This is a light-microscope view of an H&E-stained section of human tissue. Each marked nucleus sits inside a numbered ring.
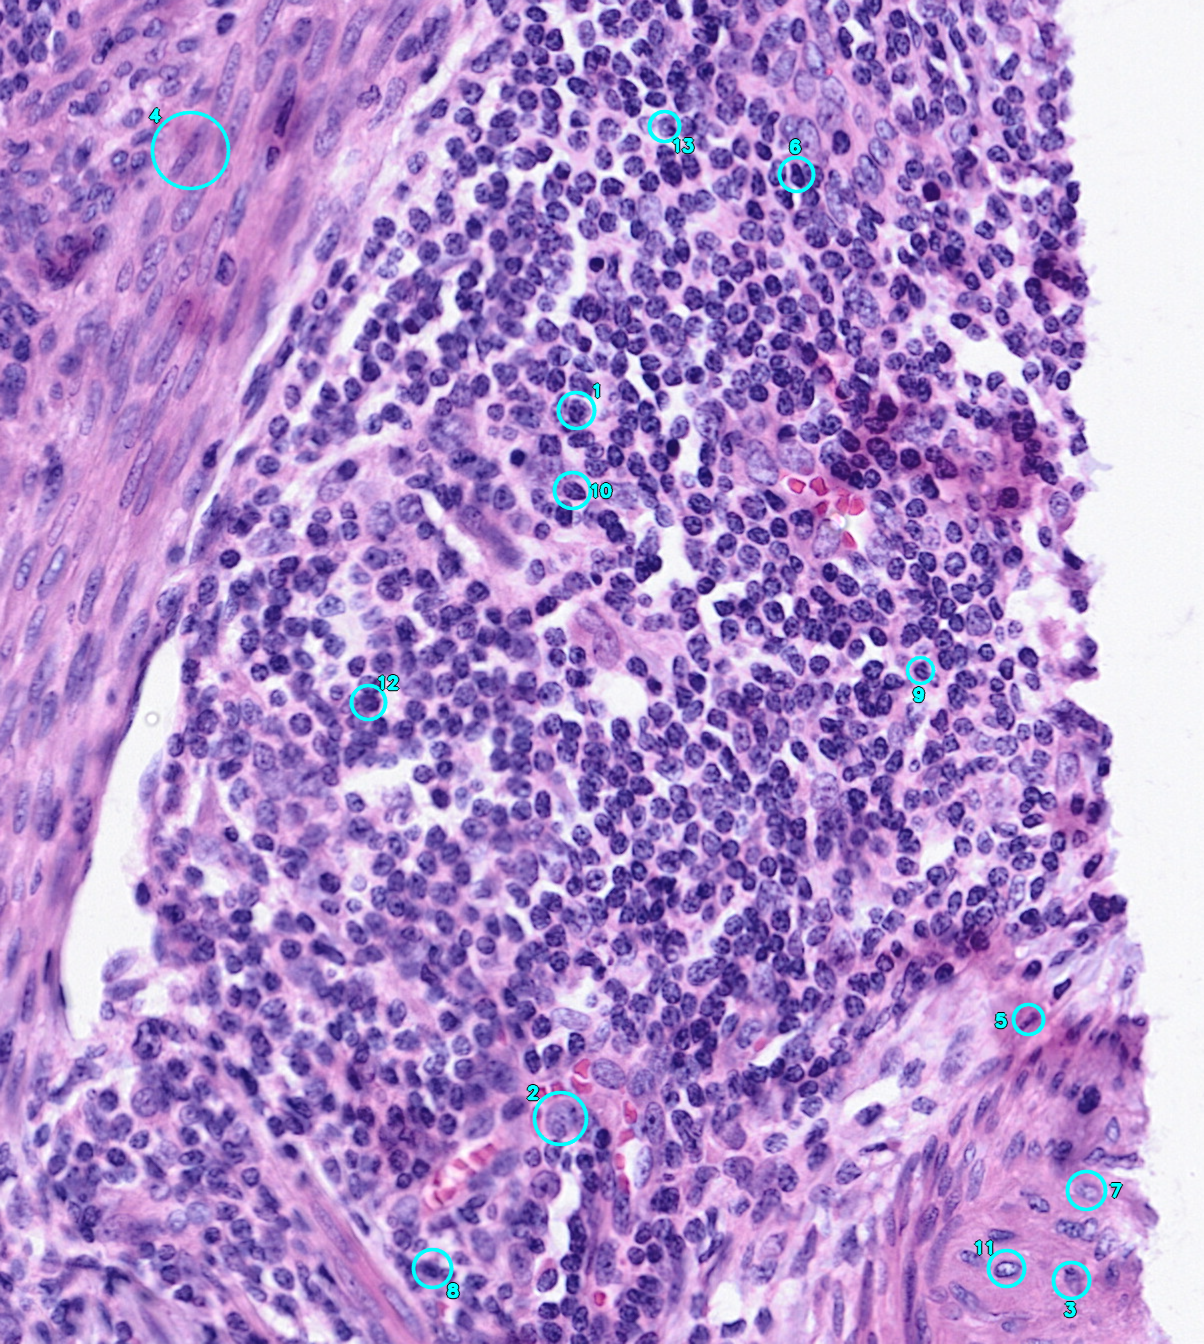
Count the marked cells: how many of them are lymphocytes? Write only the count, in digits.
7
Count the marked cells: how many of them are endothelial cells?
2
